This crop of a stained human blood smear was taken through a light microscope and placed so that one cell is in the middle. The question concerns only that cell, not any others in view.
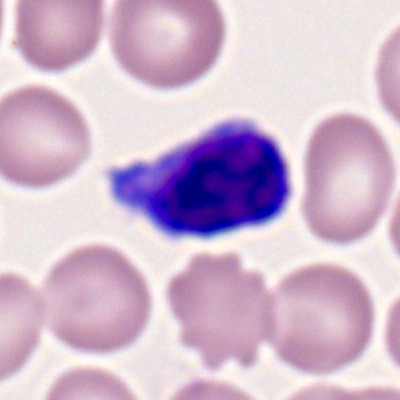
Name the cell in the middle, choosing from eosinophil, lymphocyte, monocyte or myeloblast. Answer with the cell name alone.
lymphocyte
